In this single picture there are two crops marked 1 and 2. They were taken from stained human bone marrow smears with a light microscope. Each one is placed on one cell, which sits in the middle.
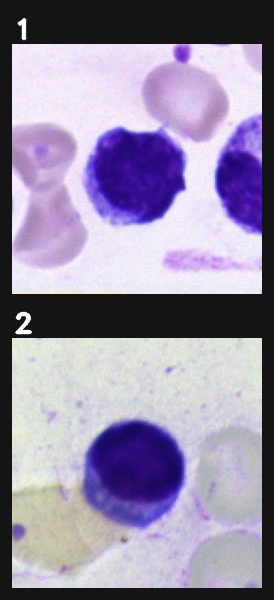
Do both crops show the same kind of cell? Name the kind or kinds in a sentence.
Yes, both crops show lymphocytes, and that holds for each one.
